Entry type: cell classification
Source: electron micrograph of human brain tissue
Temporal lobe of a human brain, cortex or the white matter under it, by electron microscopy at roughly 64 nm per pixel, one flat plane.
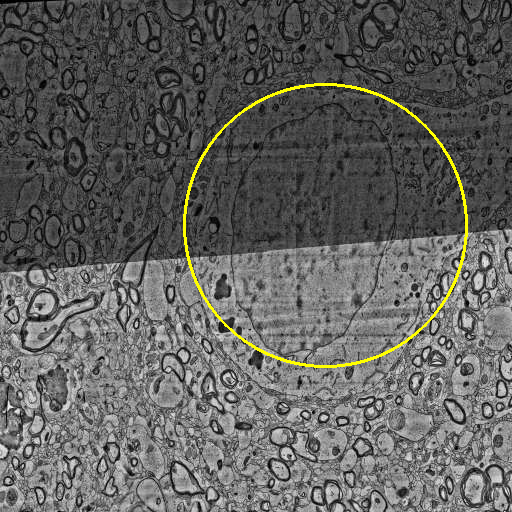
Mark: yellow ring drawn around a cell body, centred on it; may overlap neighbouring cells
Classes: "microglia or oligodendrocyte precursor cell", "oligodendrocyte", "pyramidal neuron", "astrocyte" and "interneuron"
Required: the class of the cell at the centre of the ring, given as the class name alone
pyramidal neuron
